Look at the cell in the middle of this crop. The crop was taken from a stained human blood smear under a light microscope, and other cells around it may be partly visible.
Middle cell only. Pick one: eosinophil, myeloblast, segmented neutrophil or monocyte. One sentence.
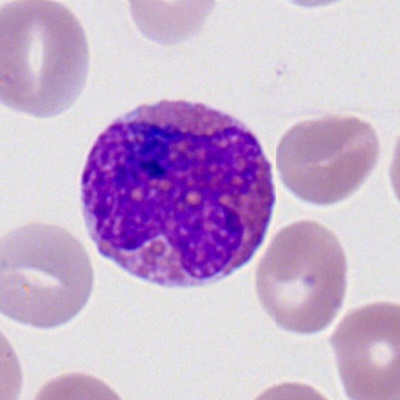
Among the cells in view, the one in the middle is an eosinophil.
